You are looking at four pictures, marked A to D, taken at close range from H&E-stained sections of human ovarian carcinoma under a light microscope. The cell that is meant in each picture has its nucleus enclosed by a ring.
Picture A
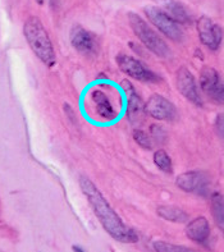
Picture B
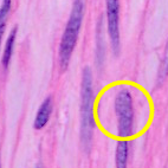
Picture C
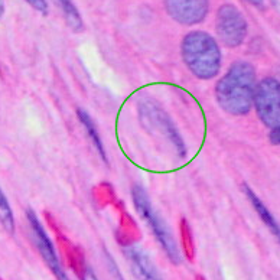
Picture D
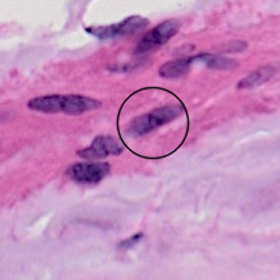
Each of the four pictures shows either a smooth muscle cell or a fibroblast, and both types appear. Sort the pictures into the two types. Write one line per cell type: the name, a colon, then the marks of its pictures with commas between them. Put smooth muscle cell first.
smooth muscle cell: A, B, D
fibroblast: C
